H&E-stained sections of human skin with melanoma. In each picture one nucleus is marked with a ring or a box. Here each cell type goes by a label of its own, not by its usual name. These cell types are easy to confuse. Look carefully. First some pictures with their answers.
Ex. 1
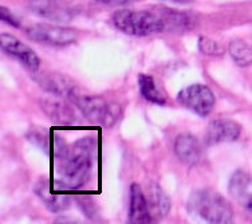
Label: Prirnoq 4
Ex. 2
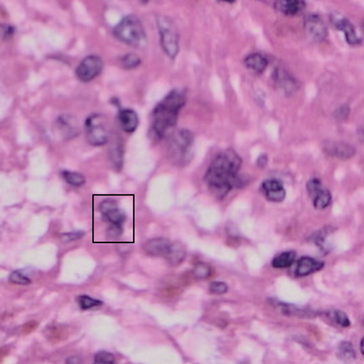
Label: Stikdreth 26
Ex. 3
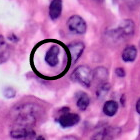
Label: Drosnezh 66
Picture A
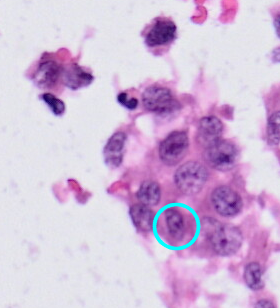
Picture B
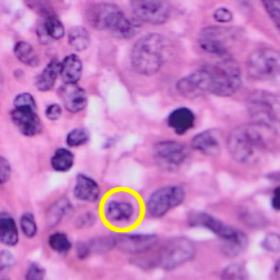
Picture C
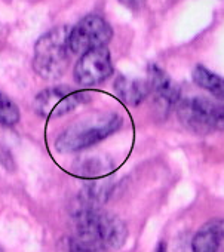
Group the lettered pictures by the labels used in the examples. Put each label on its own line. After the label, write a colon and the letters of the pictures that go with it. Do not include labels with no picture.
Prirnoq 4: A, C
Drosnezh 66: B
